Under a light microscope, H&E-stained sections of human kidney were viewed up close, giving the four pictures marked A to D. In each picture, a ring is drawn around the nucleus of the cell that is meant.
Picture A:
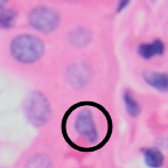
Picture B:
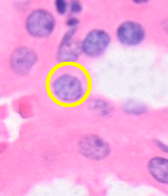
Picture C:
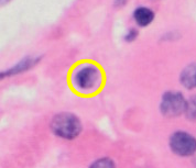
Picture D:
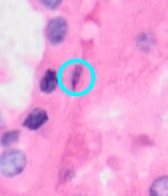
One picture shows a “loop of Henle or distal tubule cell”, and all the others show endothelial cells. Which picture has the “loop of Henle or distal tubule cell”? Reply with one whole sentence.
Picture B shows the “loop of Henle or distal tubule cell”.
